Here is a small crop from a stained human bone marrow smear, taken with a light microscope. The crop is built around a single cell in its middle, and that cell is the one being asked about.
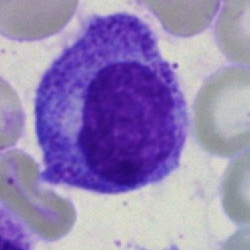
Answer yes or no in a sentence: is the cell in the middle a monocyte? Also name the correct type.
No, the cell at the centre of the crop corresponds to a myelocyte, not a monocyte.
